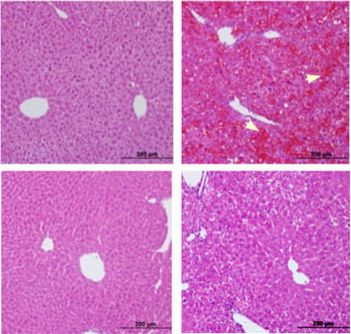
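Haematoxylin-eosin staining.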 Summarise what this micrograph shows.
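Four low-magnification fields of liver stained pink and purple, with hepatocyte tissue and scattered vessels. In the two left images the parenchyma is evenly pink with small purple nuclei, interrupted only by clear round or oval vessel lumens. The upper right image is dominated by broad areas of intense red that flood the tissue around vessels, leaving only patches of paler hepatocyte tissue; yellow arrowheads point into these red regions. The lower right image keeps an evenly stained pink-purple parenchyma with small vessels and without the extensive red flooding.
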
